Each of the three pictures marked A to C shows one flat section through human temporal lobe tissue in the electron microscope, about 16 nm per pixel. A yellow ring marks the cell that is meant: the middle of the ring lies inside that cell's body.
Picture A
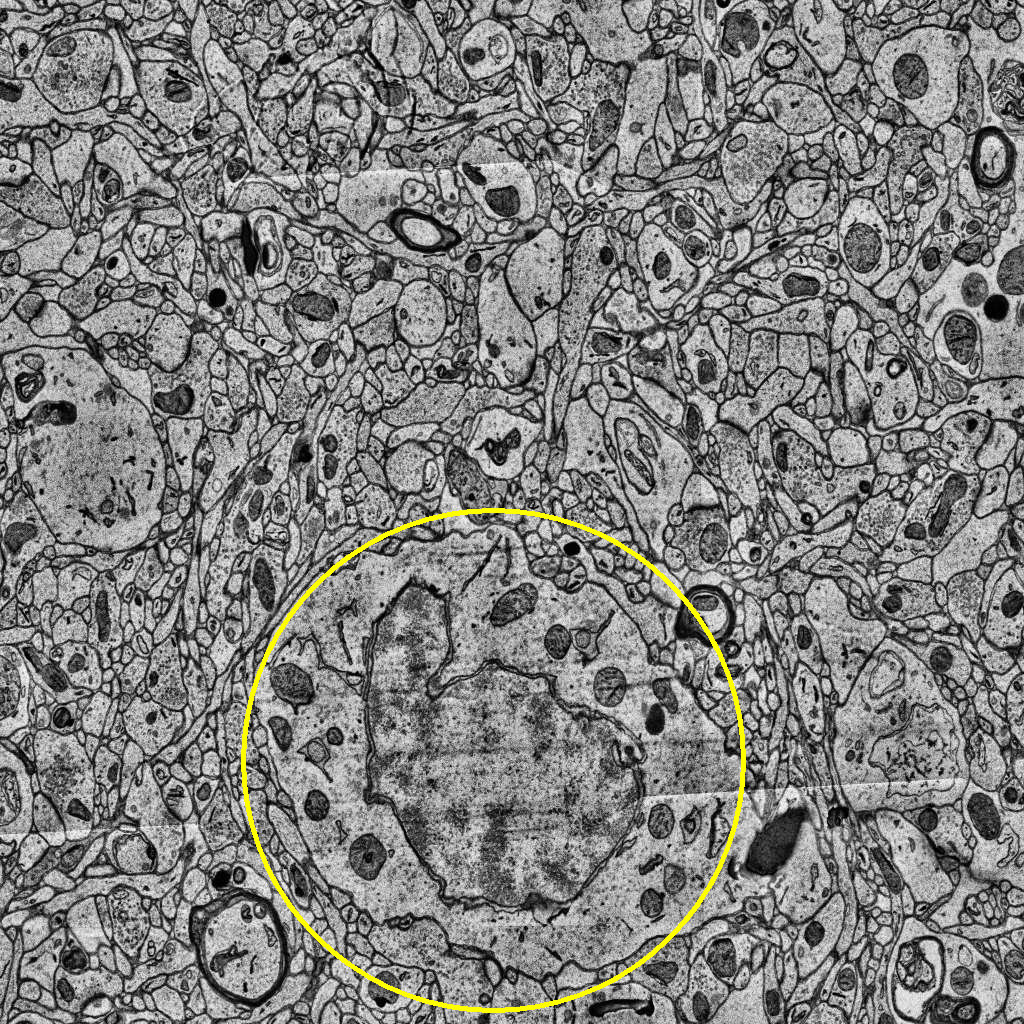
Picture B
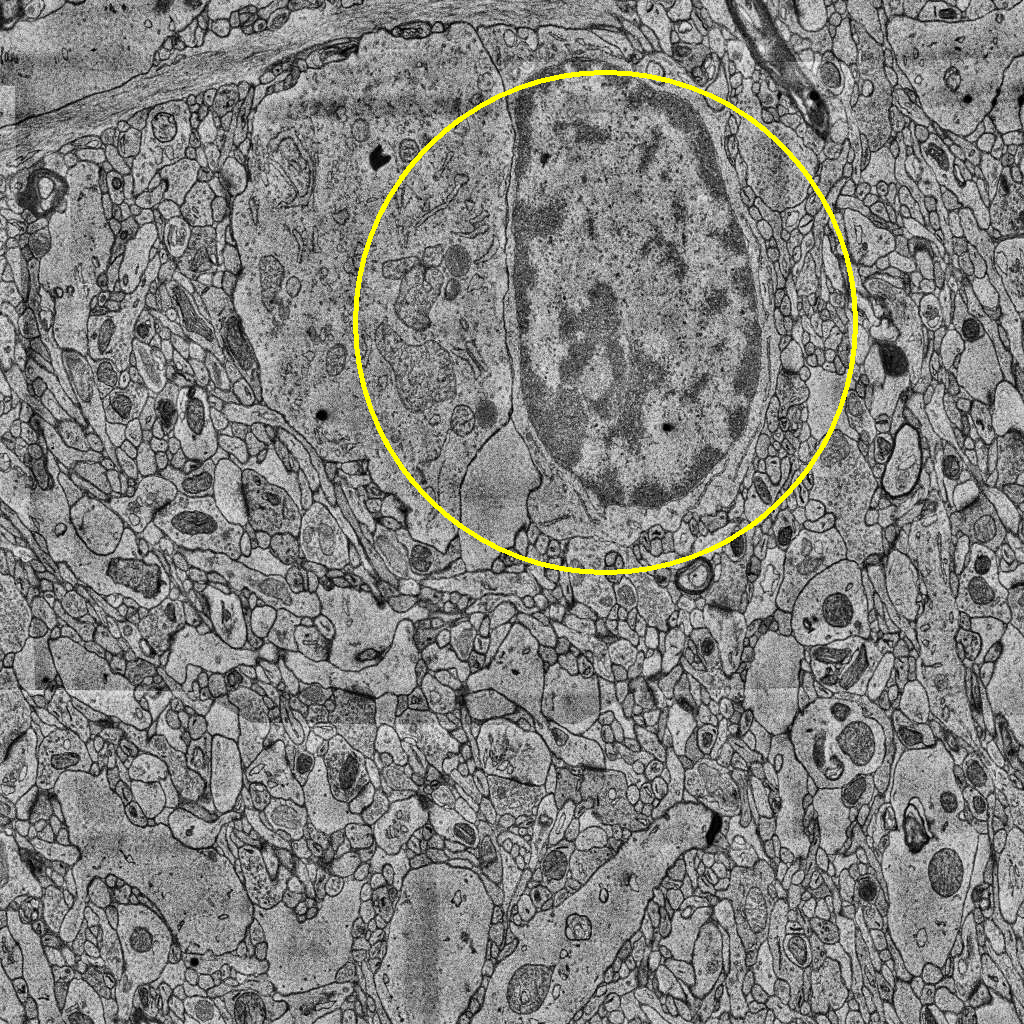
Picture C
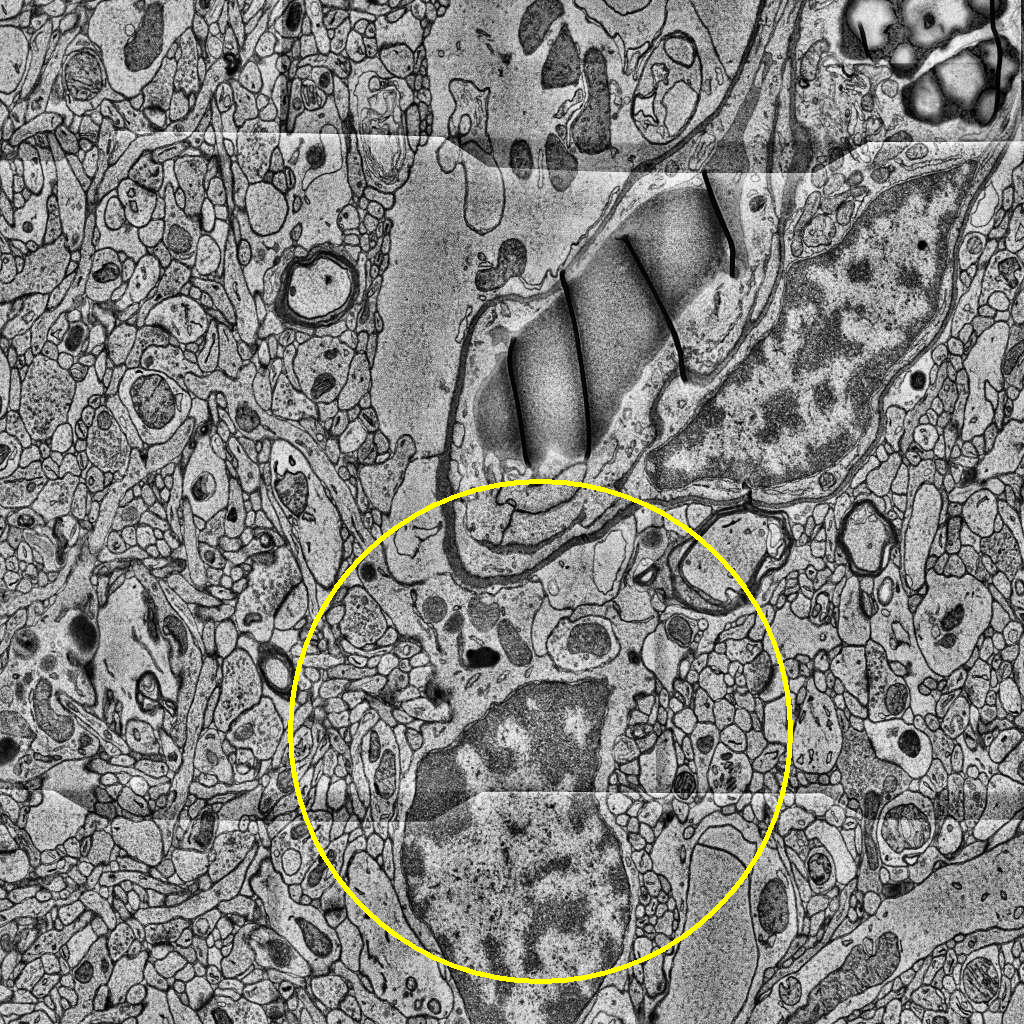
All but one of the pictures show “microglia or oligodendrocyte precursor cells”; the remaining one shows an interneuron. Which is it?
The cell in picture A is the interneuron.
